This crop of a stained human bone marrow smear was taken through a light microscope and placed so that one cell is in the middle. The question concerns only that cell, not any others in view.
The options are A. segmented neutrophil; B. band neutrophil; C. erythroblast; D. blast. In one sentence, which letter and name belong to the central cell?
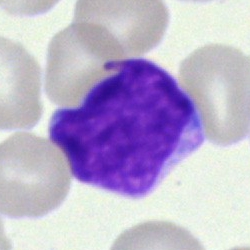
Option D stands as correct, the central cell being a blast.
